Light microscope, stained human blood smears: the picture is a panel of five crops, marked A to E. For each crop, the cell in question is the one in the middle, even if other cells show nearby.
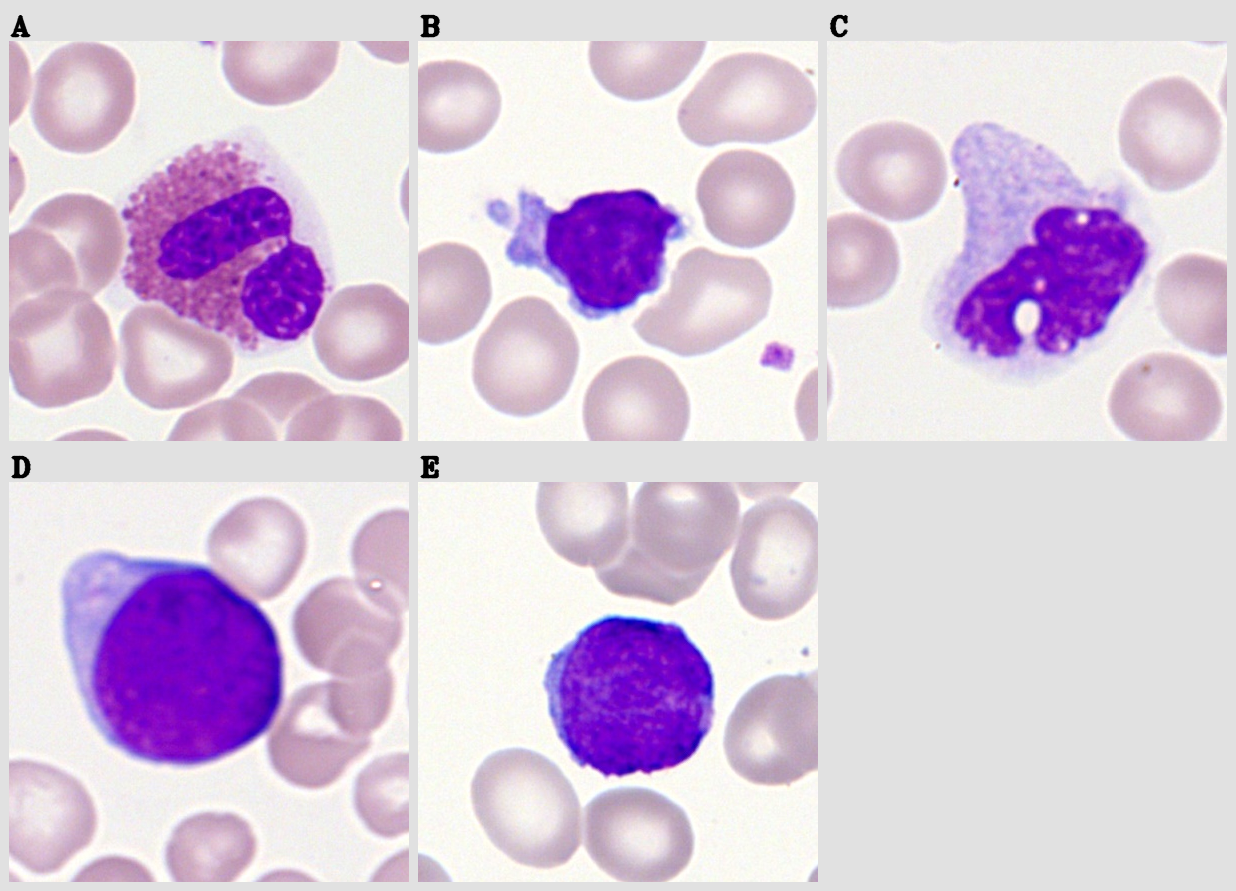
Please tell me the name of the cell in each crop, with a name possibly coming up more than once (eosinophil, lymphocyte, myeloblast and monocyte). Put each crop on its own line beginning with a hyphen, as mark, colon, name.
- A: eosinophil
- B: lymphocyte
- C: monocyte
- D: myeloblast
- E: myeloblast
